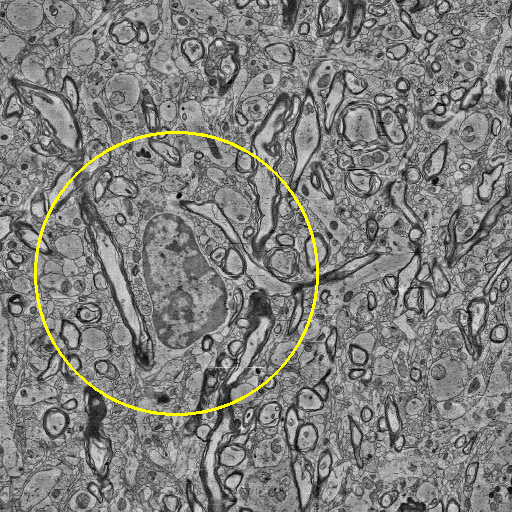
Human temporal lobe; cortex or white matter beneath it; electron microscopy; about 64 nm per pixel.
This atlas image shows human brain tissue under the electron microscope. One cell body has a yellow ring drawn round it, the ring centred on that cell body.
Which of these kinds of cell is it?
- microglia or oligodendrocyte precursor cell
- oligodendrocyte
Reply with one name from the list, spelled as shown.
microglia or oligodendrocyte precursor cell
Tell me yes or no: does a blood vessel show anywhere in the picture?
No, the image shows no blood vessel.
